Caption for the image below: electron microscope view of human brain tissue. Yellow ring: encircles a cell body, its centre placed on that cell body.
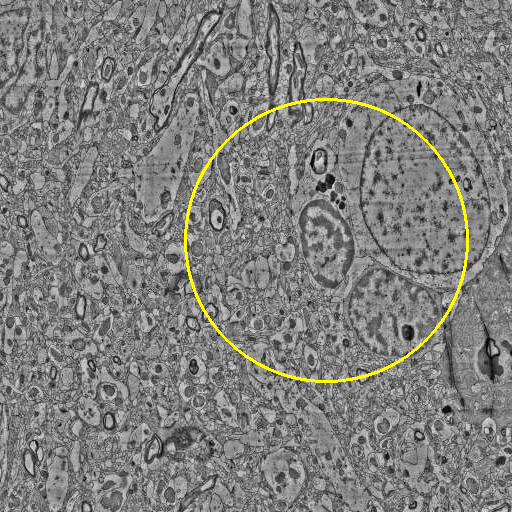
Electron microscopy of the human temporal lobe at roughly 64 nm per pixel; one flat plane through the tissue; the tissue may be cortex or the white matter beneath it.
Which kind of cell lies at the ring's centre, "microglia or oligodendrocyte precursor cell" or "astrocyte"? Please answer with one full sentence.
The picture shows a microglial cell or oligodendrocyte precursor cell at the centre of the yellow ring.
